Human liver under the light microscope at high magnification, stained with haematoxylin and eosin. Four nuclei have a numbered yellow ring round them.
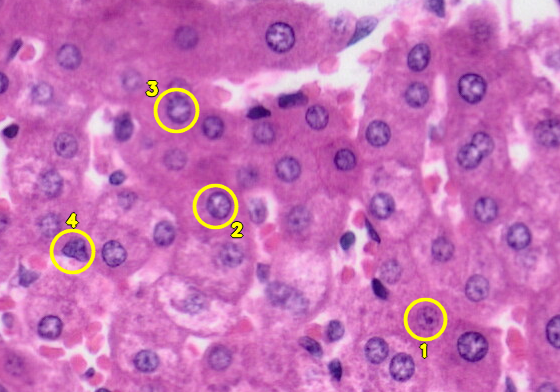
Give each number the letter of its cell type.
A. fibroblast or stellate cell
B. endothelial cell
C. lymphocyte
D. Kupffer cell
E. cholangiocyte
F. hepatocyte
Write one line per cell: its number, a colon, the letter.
1: F
2: F
3: F
4: B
